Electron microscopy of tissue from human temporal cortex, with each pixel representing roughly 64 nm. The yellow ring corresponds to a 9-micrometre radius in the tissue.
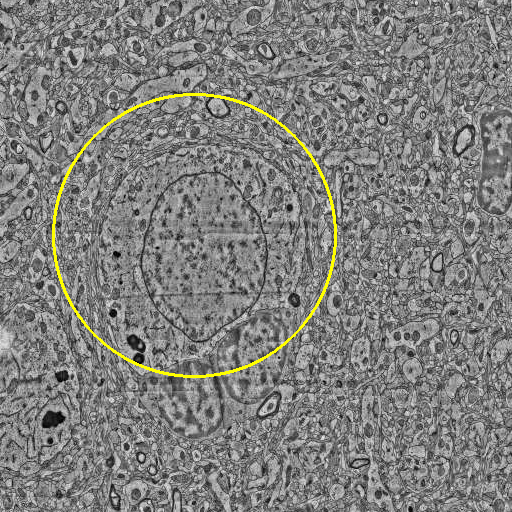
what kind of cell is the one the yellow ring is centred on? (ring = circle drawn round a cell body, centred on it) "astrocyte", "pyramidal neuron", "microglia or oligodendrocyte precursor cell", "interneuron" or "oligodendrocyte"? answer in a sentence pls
The ring is drawn around a pyramidal neuron.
